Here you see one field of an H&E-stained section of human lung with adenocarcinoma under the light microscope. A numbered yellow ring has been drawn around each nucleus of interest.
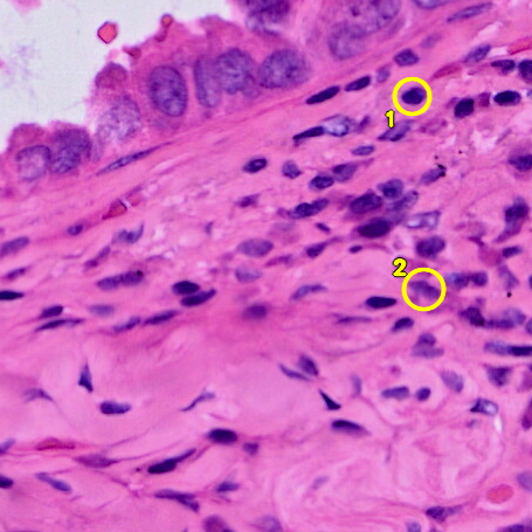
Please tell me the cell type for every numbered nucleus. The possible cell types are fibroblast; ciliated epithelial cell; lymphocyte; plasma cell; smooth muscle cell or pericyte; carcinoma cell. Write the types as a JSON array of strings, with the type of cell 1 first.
["lymphocyte", "plasma cell"]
